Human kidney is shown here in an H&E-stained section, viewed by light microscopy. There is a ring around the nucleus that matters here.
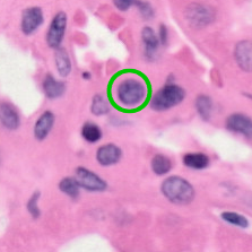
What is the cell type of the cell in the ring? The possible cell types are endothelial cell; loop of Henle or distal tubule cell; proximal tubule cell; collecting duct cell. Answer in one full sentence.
The category to which the cell in the ring belongs is that of a collecting duct cell.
